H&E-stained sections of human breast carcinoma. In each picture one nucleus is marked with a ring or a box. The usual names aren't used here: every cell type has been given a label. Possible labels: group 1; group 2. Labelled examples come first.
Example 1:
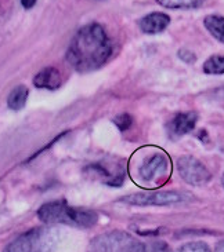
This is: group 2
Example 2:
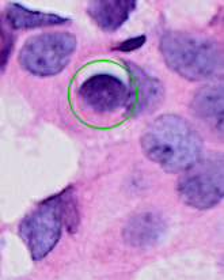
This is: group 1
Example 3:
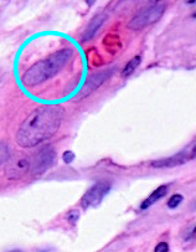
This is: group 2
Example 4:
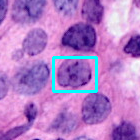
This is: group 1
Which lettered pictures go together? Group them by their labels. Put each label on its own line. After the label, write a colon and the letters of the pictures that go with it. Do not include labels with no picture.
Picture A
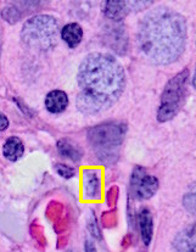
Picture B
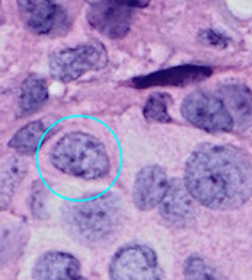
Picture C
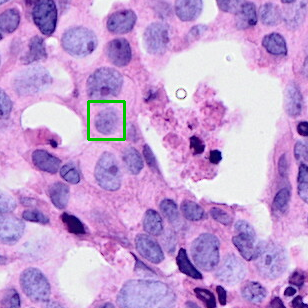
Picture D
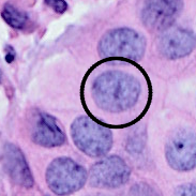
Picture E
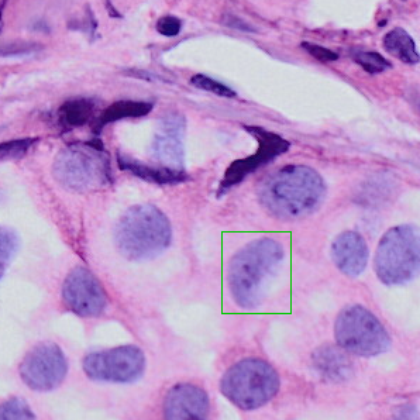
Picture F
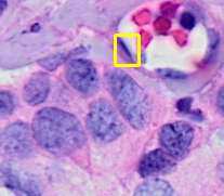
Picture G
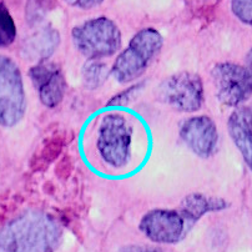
group 1: B, C, D, E, G
group 2: A, F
